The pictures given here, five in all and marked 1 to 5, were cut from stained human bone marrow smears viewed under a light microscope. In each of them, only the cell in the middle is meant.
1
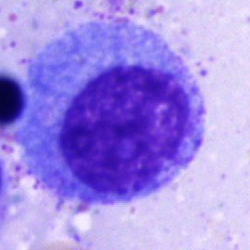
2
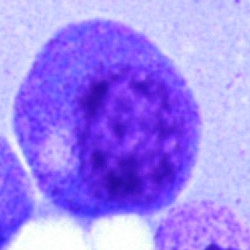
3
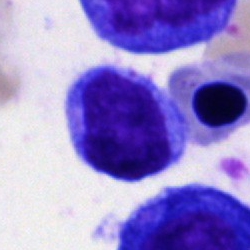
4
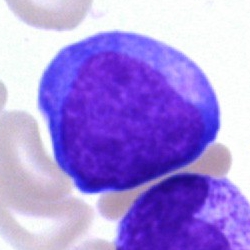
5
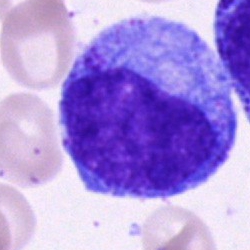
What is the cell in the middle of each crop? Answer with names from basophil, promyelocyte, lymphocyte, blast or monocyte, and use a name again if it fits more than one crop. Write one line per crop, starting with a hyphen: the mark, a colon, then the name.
- 1: promyelocyte
- 2: promyelocyte
- 3: lymphocyte
- 4: blast
- 5: promyelocyte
